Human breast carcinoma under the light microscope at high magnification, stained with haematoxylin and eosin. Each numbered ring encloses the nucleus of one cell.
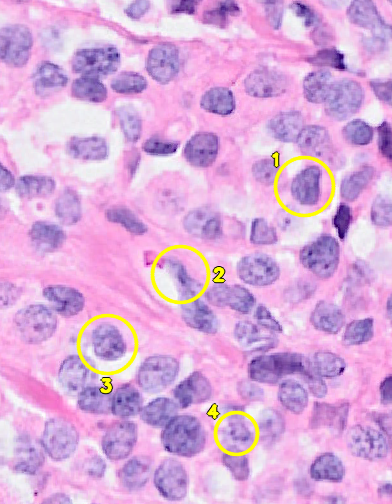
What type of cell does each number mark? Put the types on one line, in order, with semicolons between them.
carcinoma cell; endothelial cell; carcinoma cell; carcinoma cell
